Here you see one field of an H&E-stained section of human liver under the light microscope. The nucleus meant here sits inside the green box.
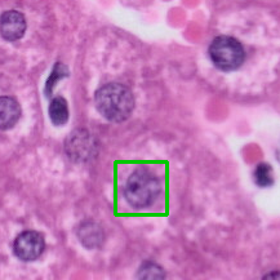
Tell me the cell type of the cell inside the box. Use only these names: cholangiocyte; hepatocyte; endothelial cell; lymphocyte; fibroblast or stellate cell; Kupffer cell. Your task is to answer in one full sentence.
Speaking plainly, the cell inside the box is nothing other than a hepatocyte.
